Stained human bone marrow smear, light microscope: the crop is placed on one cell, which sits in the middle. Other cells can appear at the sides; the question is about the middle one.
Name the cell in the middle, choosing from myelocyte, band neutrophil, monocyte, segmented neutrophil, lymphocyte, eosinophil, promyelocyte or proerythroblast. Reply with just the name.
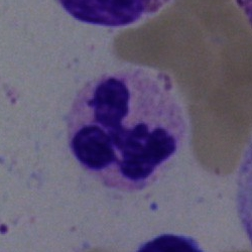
segmented neutrophil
